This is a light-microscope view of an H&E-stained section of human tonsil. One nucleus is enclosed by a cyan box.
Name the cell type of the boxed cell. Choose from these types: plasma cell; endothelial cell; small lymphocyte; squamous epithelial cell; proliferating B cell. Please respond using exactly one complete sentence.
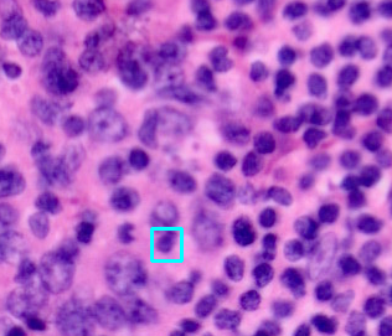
It is as a proliferating B cell that the boxed cell is classified.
